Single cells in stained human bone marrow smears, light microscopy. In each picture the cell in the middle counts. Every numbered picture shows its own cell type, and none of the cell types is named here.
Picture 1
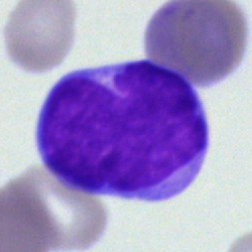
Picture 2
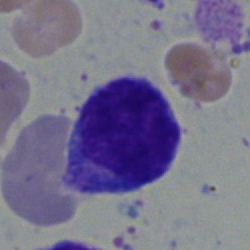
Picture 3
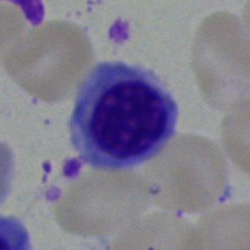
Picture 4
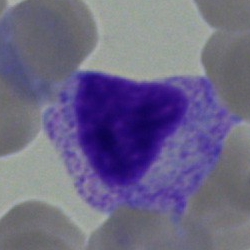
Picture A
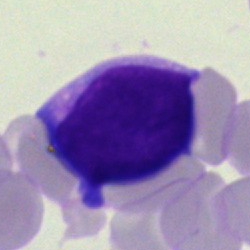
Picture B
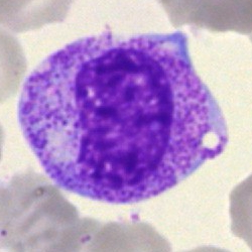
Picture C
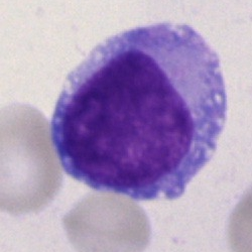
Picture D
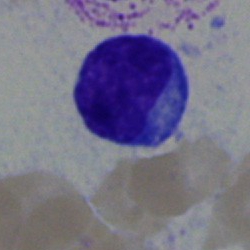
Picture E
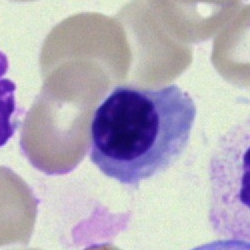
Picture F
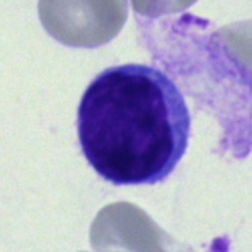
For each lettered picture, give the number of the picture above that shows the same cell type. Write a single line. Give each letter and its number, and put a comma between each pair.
A 1, B 4, C 1, D 2, E 3, F 2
